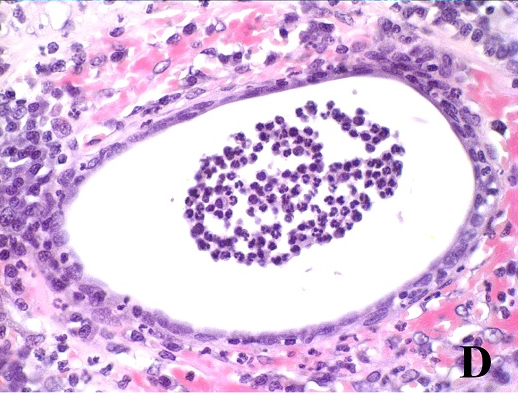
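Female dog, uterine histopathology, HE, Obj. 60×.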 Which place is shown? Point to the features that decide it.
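The free cell cluster sits inside this lined space.
Answer: glandular lumen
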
